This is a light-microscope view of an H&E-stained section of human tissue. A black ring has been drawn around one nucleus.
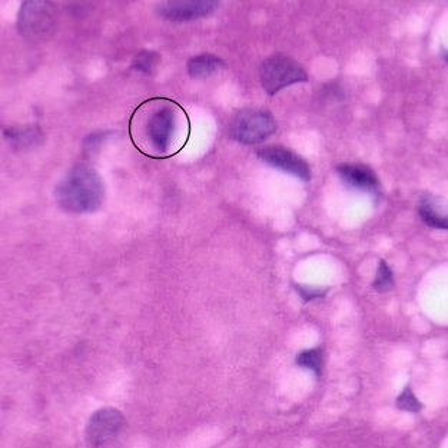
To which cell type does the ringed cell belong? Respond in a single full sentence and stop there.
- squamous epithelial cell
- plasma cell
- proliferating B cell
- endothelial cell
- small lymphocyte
So far as cell type goes, the ringed cell is a squamous epithelial cell.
